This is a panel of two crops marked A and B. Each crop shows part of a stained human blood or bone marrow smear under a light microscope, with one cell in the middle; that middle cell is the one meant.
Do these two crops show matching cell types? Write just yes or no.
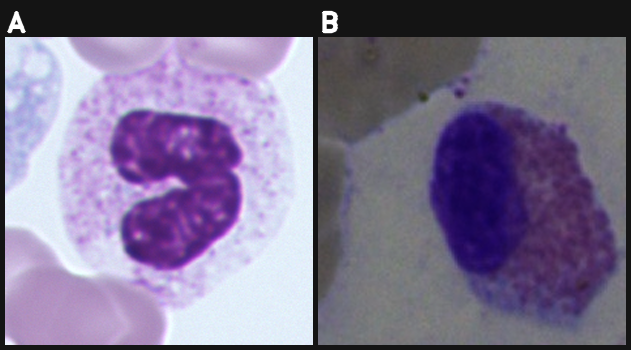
no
